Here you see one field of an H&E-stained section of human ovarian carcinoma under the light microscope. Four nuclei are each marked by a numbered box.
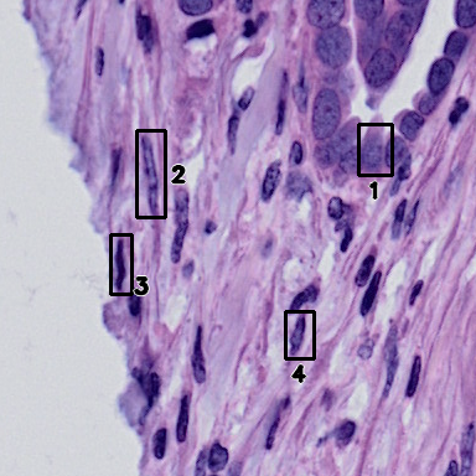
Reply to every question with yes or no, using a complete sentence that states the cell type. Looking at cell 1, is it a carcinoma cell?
Yes, the one numbered 1 is a carcinoma cell.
